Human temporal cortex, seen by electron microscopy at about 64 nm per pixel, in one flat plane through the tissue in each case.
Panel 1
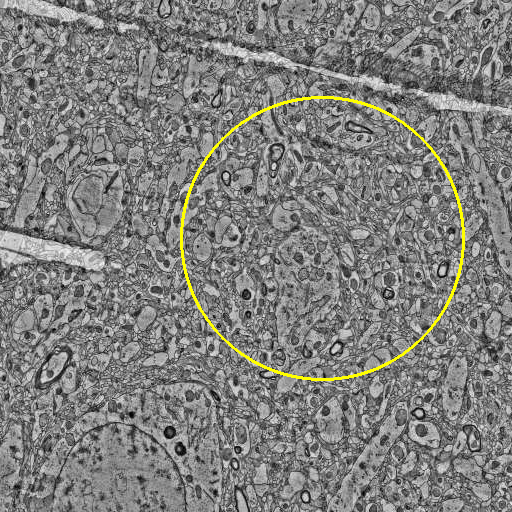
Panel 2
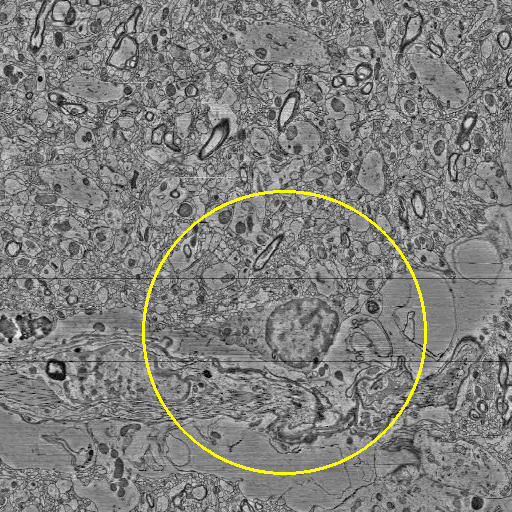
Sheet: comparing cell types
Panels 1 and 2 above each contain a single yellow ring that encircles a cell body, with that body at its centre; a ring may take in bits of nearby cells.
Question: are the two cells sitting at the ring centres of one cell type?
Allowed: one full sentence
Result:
No, the ring-centre cells in Panel 1 and Panel 2 are of two types.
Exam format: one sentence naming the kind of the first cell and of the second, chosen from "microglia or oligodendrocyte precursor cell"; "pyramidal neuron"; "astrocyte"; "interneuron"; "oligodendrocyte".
The first picture's cell is an interneuron, and the second picture's cell is an oligodendrocyte.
